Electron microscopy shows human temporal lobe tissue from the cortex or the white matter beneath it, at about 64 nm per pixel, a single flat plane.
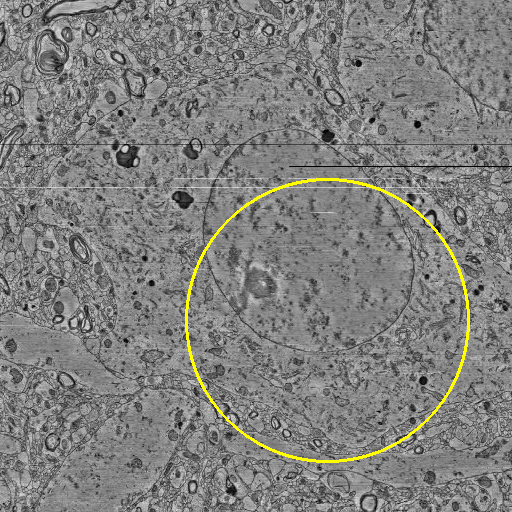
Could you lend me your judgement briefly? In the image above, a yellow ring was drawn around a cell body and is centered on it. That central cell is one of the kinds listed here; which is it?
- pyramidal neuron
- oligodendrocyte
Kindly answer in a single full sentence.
Going by the list, a pyramidal neuron is the kind at the ring's center in the picture.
